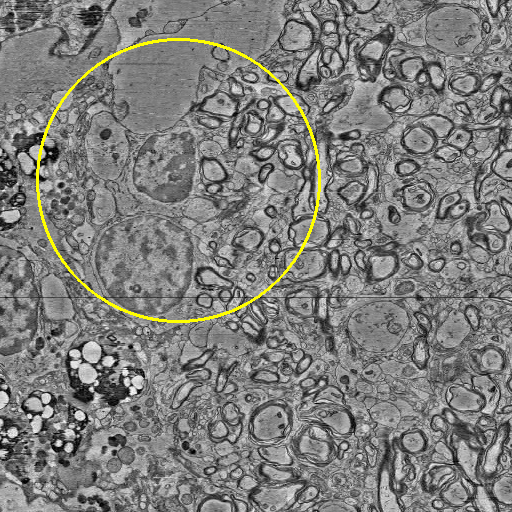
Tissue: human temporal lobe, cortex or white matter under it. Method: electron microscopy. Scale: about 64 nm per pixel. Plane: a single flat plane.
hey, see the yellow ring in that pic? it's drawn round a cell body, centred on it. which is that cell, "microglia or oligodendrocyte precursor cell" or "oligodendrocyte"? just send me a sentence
The cell in the ring is a microglial cell or oligodendrocyte precursor cell.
